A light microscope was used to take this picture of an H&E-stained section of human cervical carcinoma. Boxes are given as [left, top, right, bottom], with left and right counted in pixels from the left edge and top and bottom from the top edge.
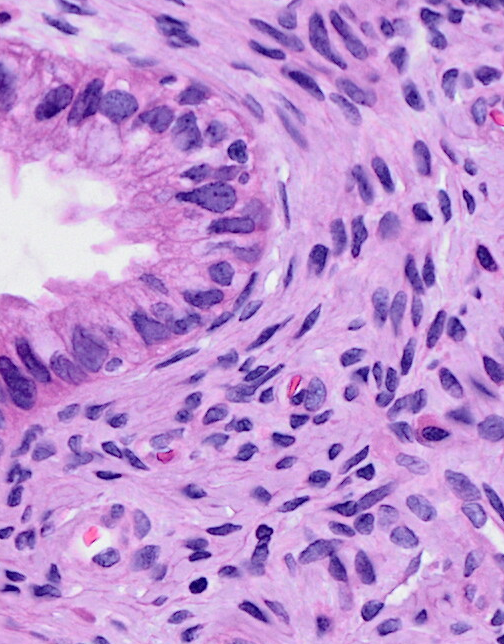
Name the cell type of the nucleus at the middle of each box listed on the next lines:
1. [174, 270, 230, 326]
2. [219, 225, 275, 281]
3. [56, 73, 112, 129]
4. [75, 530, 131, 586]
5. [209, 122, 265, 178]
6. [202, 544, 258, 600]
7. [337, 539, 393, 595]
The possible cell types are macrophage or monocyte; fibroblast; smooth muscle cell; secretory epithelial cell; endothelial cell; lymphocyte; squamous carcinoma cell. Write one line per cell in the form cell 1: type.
cell 1: secretory epithelial cell
cell 2: secretory epithelial cell
cell 3: secretory epithelial cell
cell 4: endothelial cell
cell 5: lymphocyte
cell 6: fibroblast
cell 7: fibroblast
